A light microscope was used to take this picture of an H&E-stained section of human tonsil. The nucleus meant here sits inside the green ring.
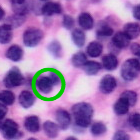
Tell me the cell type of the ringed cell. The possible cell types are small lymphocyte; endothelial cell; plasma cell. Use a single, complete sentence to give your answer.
So far as cell type goes, the ringed cell is a small lymphocyte.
